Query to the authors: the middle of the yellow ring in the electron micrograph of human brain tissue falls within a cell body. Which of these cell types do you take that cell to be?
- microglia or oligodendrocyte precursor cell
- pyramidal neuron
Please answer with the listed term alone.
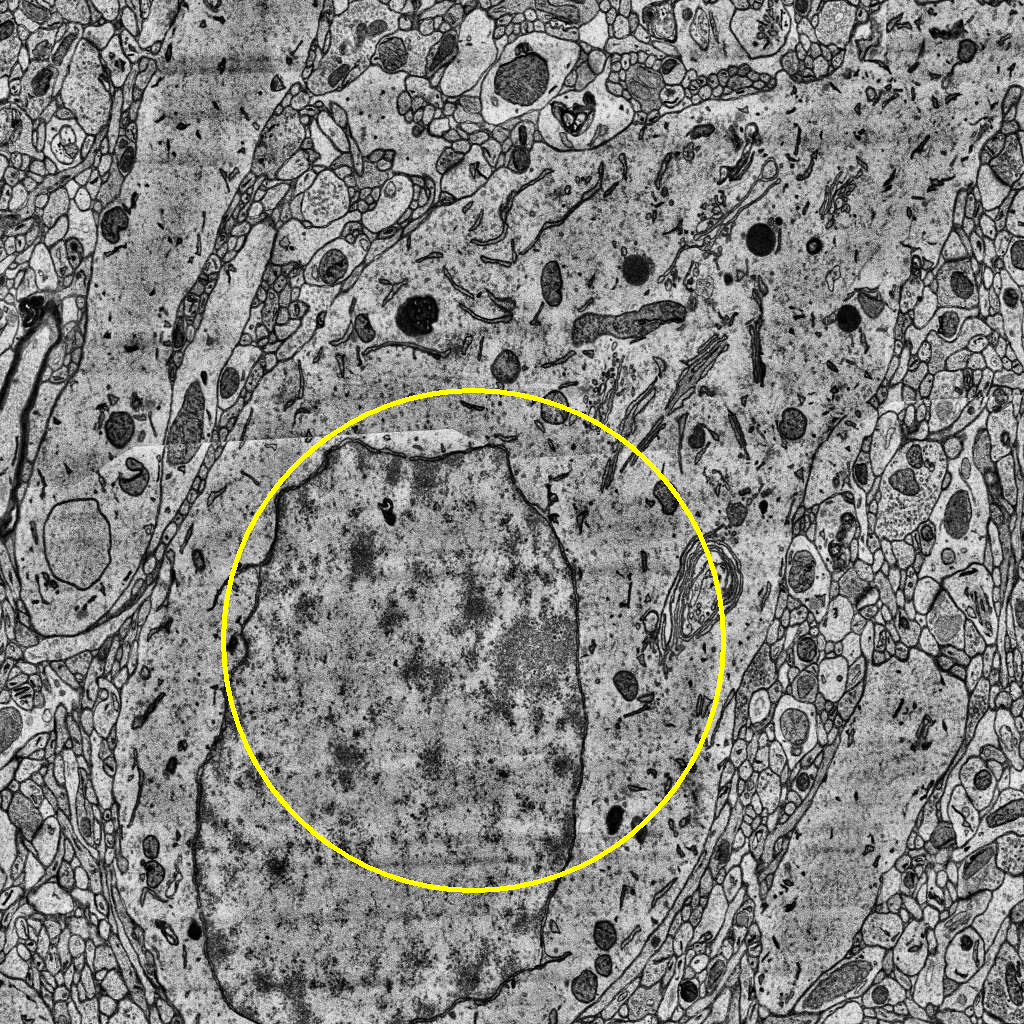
pyramidal neuron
